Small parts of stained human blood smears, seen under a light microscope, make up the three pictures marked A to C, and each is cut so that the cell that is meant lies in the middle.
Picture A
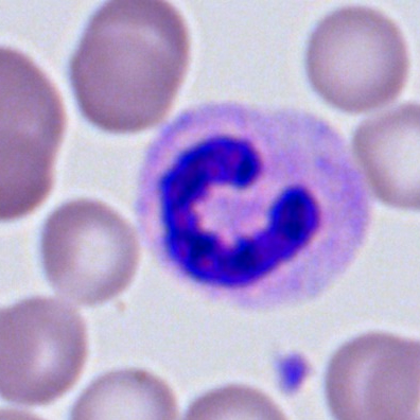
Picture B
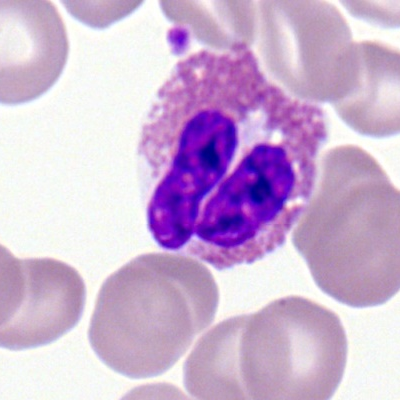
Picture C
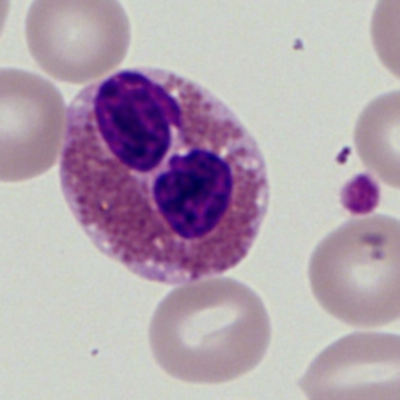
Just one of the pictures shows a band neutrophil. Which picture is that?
A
